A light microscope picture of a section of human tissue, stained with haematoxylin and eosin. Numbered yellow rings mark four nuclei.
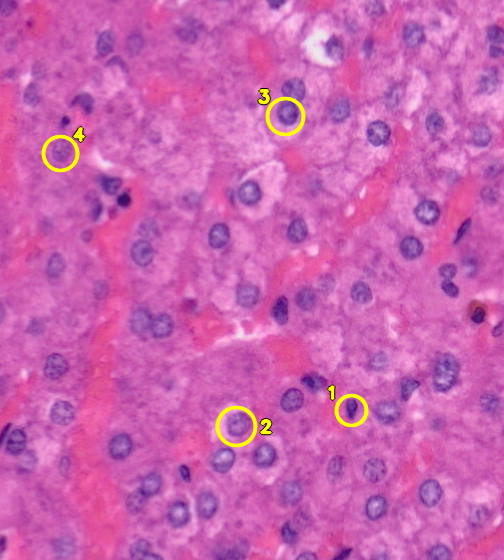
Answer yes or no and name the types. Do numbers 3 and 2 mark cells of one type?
Yes, both cells, 3 and 2, are hepatocytes.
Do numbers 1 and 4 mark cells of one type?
No, cell 1 is a fibroblast or stellate cell, and cell 4 is, by contrast, a hepatocyte.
